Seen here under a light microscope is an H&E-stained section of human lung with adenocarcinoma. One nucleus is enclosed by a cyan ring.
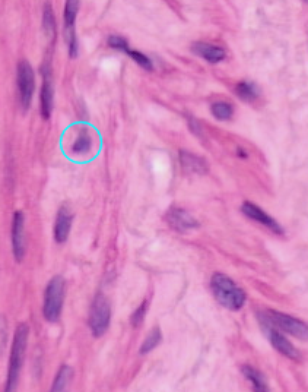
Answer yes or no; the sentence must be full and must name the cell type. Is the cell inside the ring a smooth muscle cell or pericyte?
Yes, the cell inside the ring is one that is classed as a smooth muscle cell or pericyte.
